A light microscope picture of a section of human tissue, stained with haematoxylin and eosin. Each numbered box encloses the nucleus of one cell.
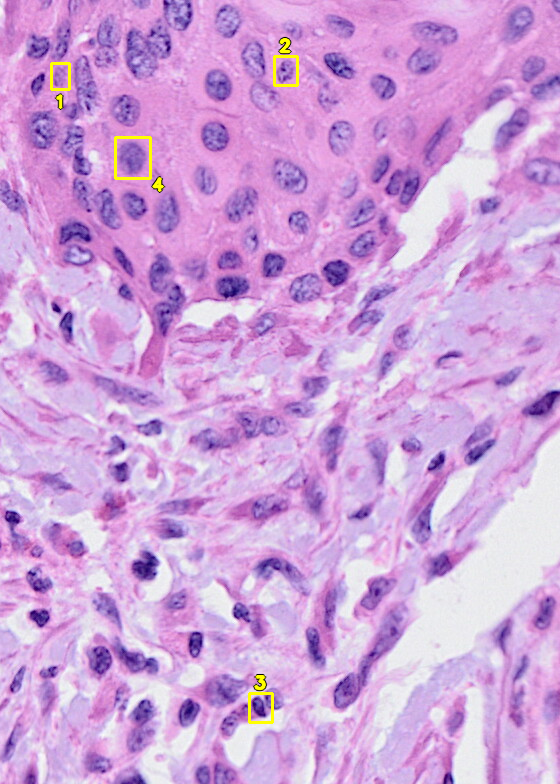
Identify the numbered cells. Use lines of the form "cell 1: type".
cell 1: squamous carcinoma cell
cell 2: squamous carcinoma cell
cell 3: lymphocyte
cell 4: squamous carcinoma cell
